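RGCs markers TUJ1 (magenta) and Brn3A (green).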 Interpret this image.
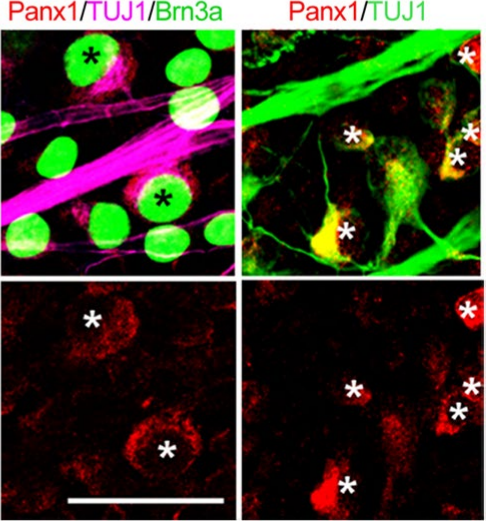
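Flat-mounted retina viewed face-on, showing the cell bodies of neurons with large round nuclei in green, scattered between broad straight bundles of nerve fibres crossing the field in magenta or green. Red labelling fills the cytoplasm around some of the nuclei more strongly than around others, and in the right-hand images several cell bodies appear yellow where red and green overlap, some extending thin processes. The lower images show the red channel alone, with the brightest cell bodies standing out as red rings or solid red shapes.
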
